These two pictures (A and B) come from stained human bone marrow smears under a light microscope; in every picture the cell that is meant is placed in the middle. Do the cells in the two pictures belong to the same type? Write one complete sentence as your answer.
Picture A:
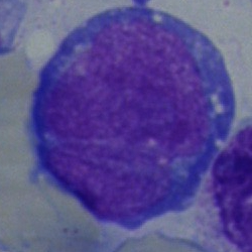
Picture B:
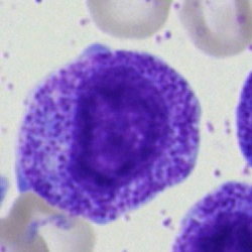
No, picture A shows a blast and picture B shows a myelocyte.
